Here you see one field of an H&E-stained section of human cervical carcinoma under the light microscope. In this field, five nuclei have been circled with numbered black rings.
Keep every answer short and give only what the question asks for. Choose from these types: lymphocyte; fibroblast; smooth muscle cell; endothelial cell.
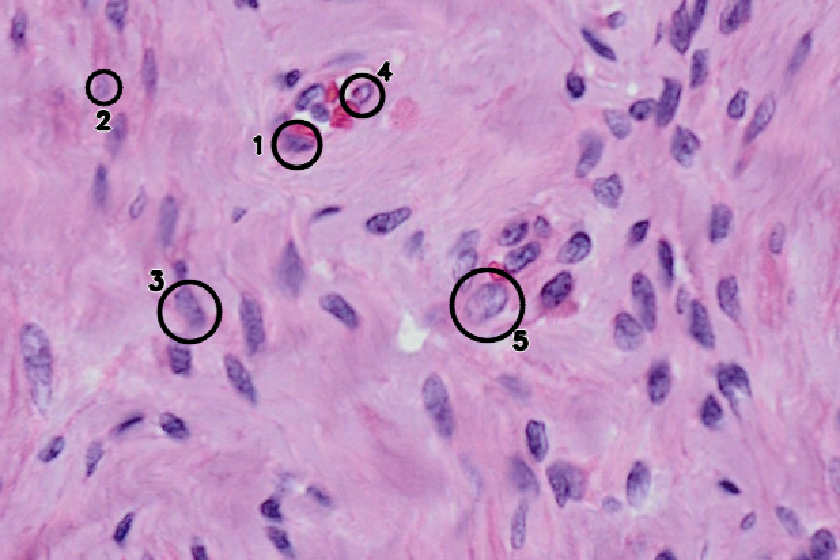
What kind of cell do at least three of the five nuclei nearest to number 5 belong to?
endothelial cell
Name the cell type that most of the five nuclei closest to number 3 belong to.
fibroblast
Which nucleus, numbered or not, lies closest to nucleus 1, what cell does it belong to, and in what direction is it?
an endothelial cell, above and to the left of nucleus 1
